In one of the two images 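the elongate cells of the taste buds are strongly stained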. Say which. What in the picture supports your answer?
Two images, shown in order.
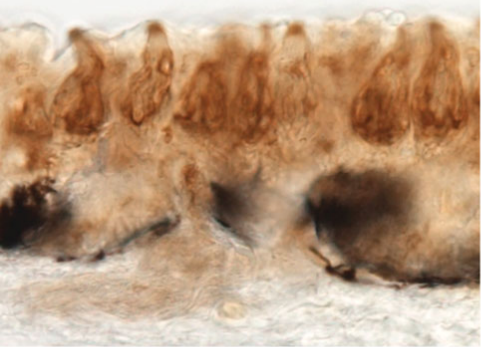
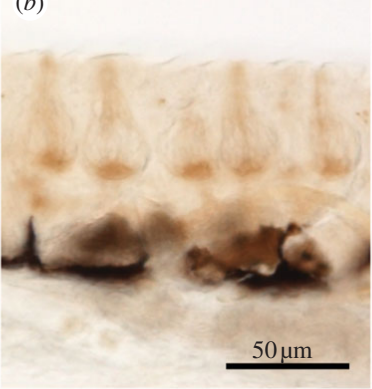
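The first image. Second image: the taste buds are faint and pale, with only a thin band of stain at their bases. First image: the taste buds are filled with dark brown, clearly stained elongate cells.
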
